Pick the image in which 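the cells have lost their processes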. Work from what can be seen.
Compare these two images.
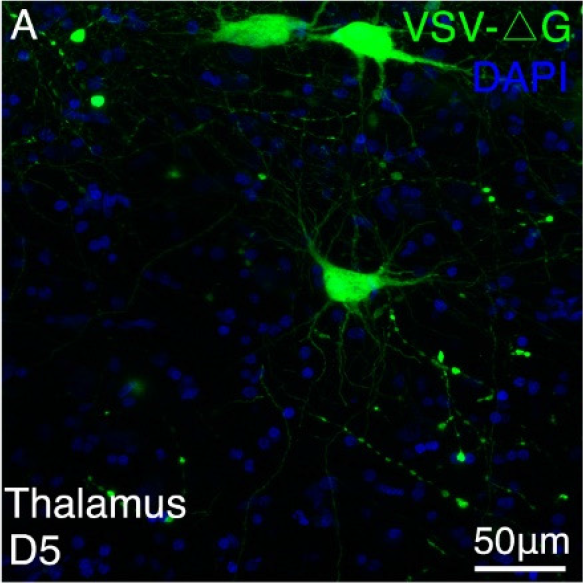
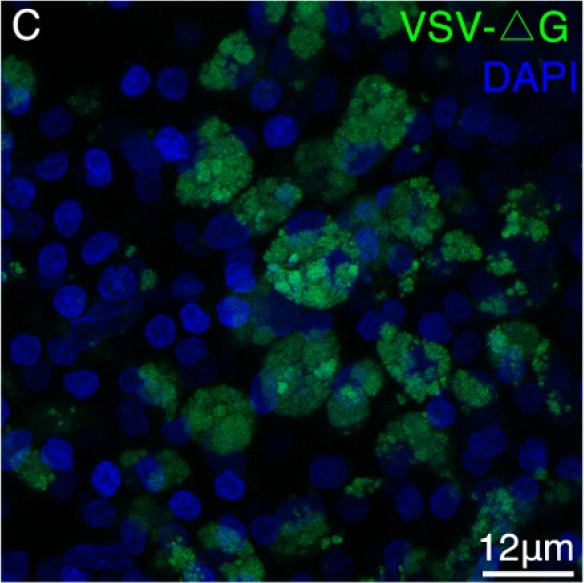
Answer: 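The second image. Second image: green cells are rounded, beaded clumps with no processes. First image: green cells have long, thin, branching processes spreading from the cell body.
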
